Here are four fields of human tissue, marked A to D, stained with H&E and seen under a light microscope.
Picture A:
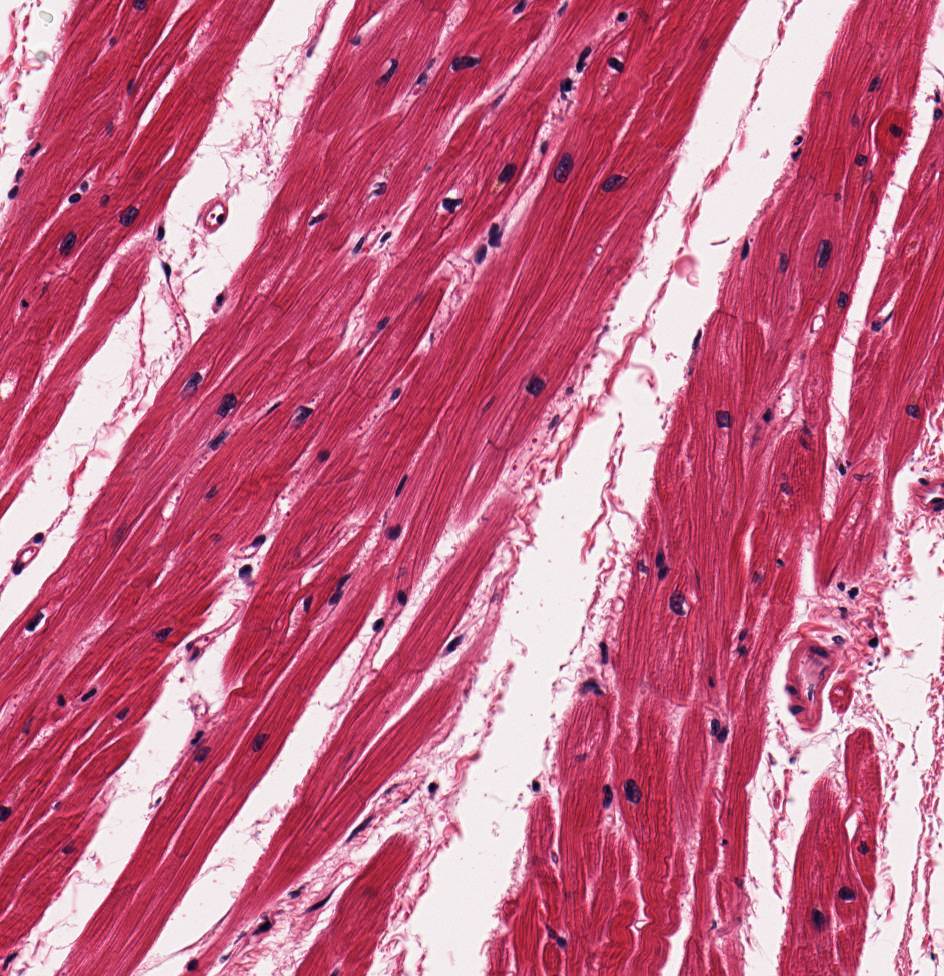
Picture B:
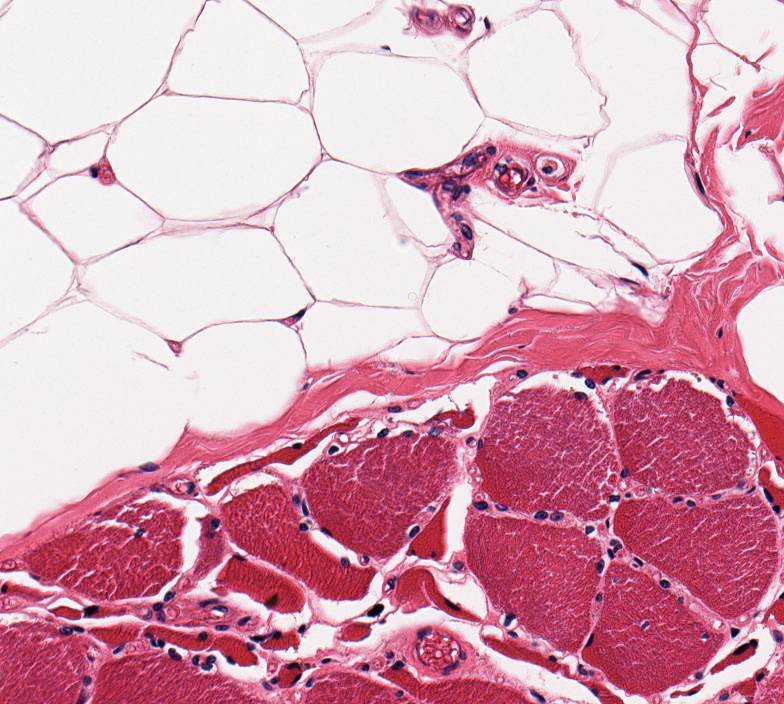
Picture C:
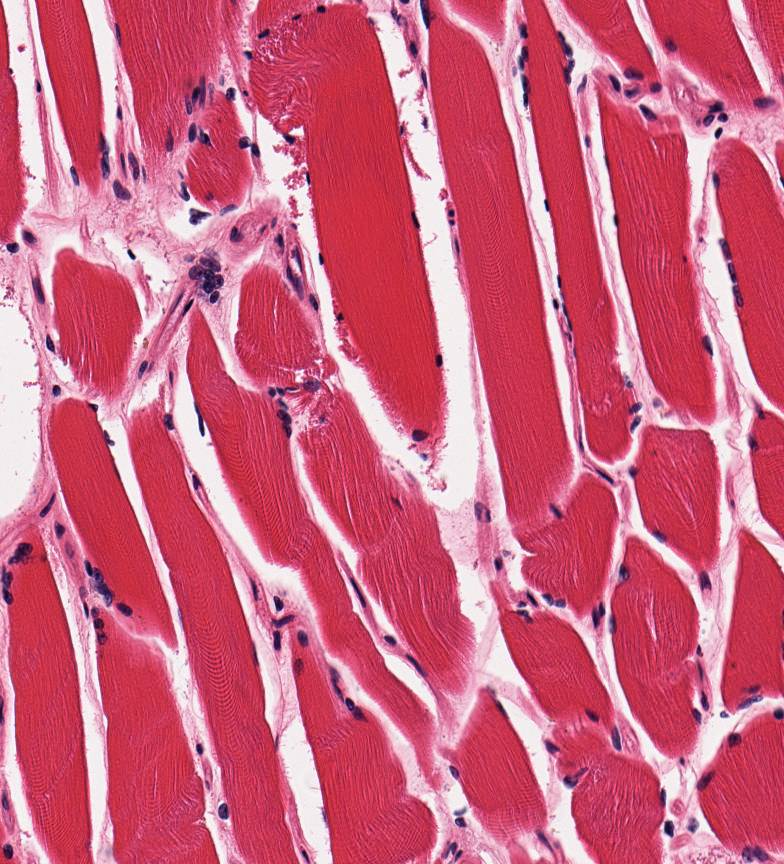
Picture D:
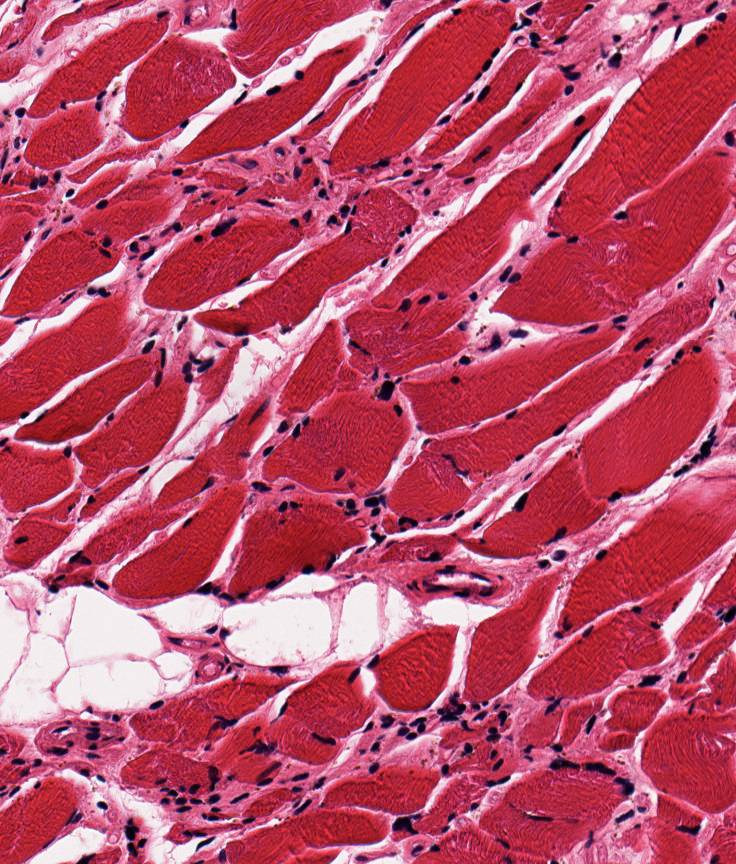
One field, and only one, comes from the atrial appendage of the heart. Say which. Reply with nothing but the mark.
A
